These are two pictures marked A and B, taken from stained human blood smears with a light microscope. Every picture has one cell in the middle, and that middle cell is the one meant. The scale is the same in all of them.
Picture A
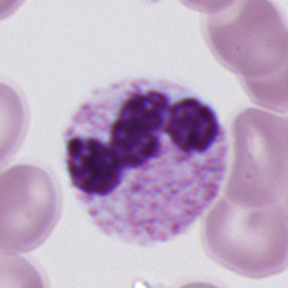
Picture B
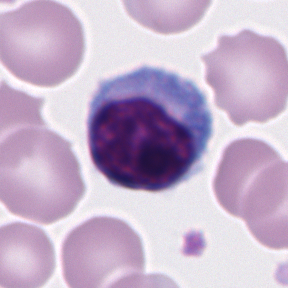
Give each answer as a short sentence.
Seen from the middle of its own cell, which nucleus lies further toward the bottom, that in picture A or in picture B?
In picture B the nucleus is shifted more toward the bottom.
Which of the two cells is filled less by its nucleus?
The nucleus fills less of the cell in picture A than in picture B.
